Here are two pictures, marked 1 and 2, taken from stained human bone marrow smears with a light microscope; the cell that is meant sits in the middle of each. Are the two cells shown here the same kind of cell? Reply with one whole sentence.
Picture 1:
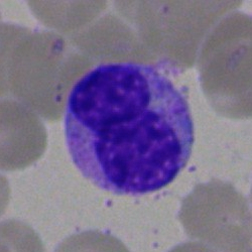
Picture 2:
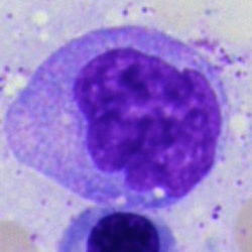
No, they differ: the cell is a metamyelocyte in picture 1 and a monocyte in picture 2.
